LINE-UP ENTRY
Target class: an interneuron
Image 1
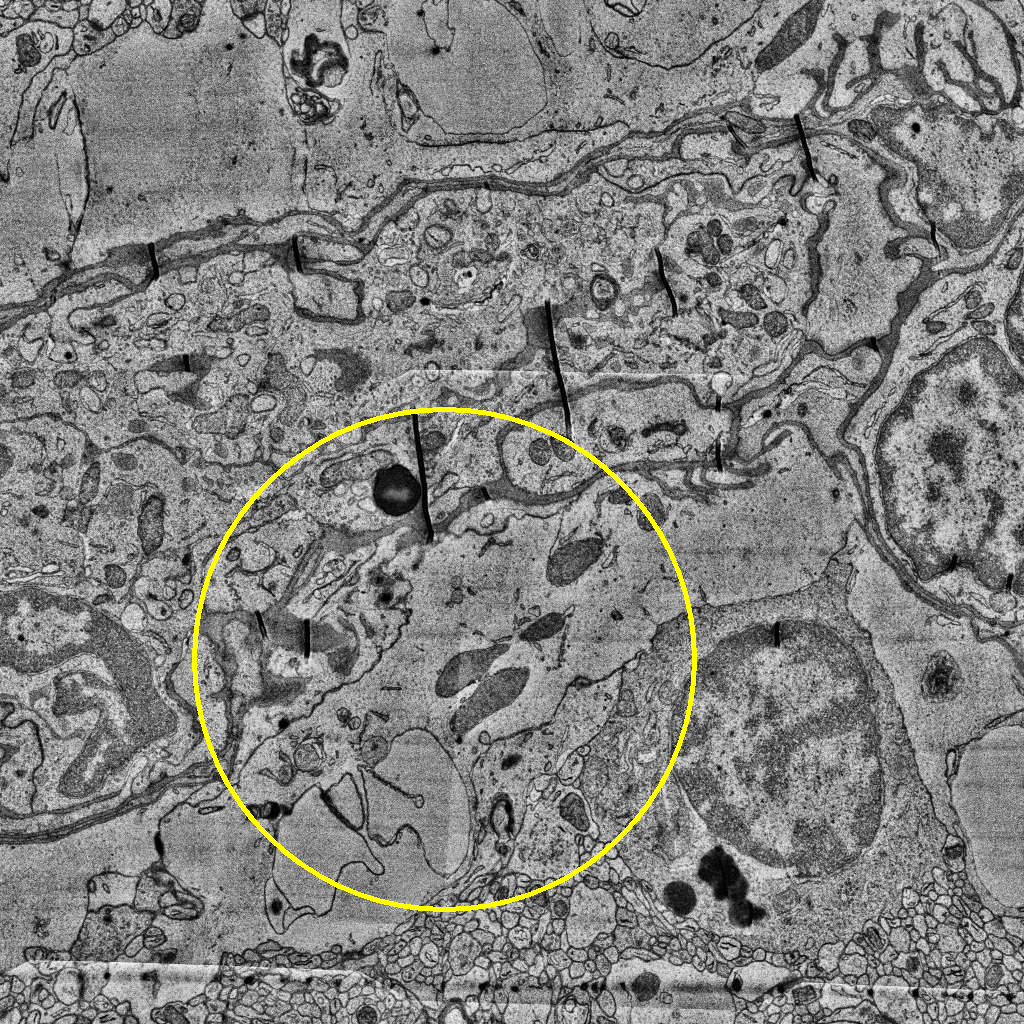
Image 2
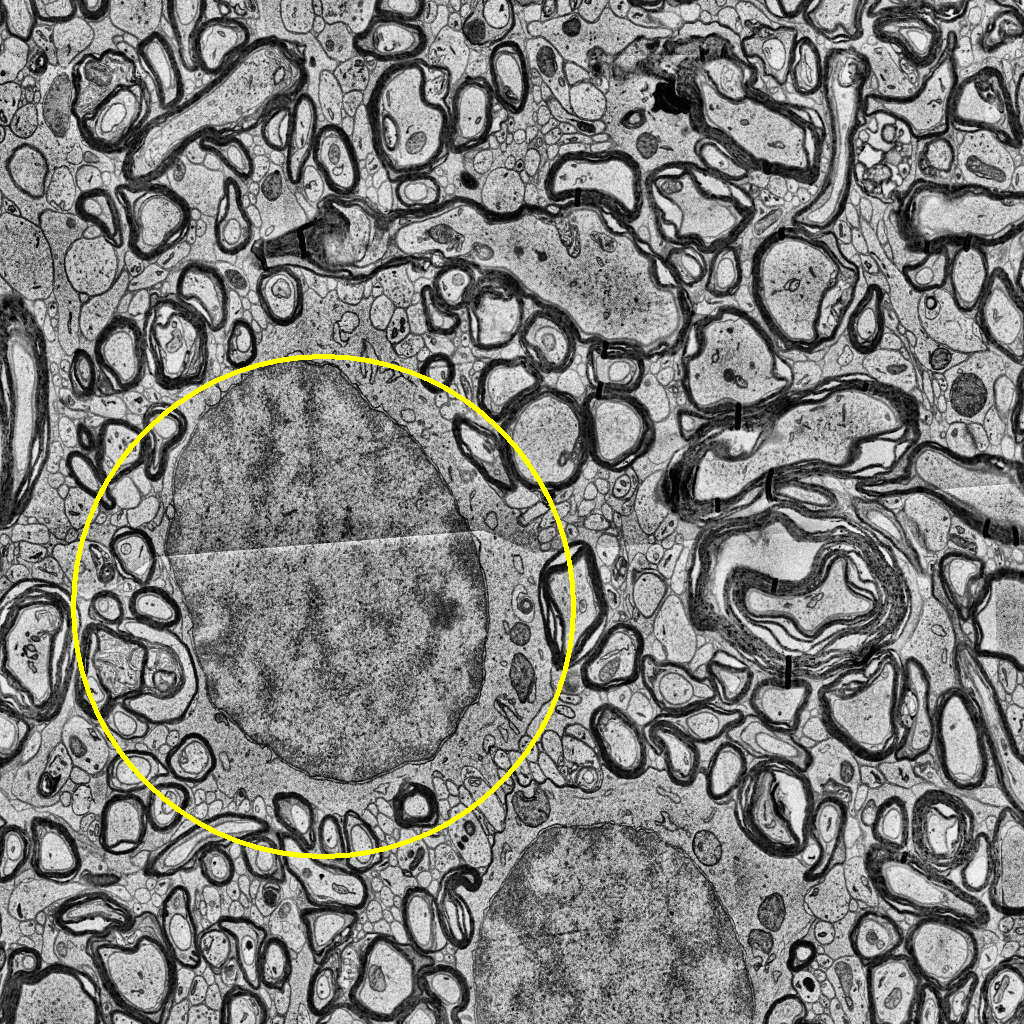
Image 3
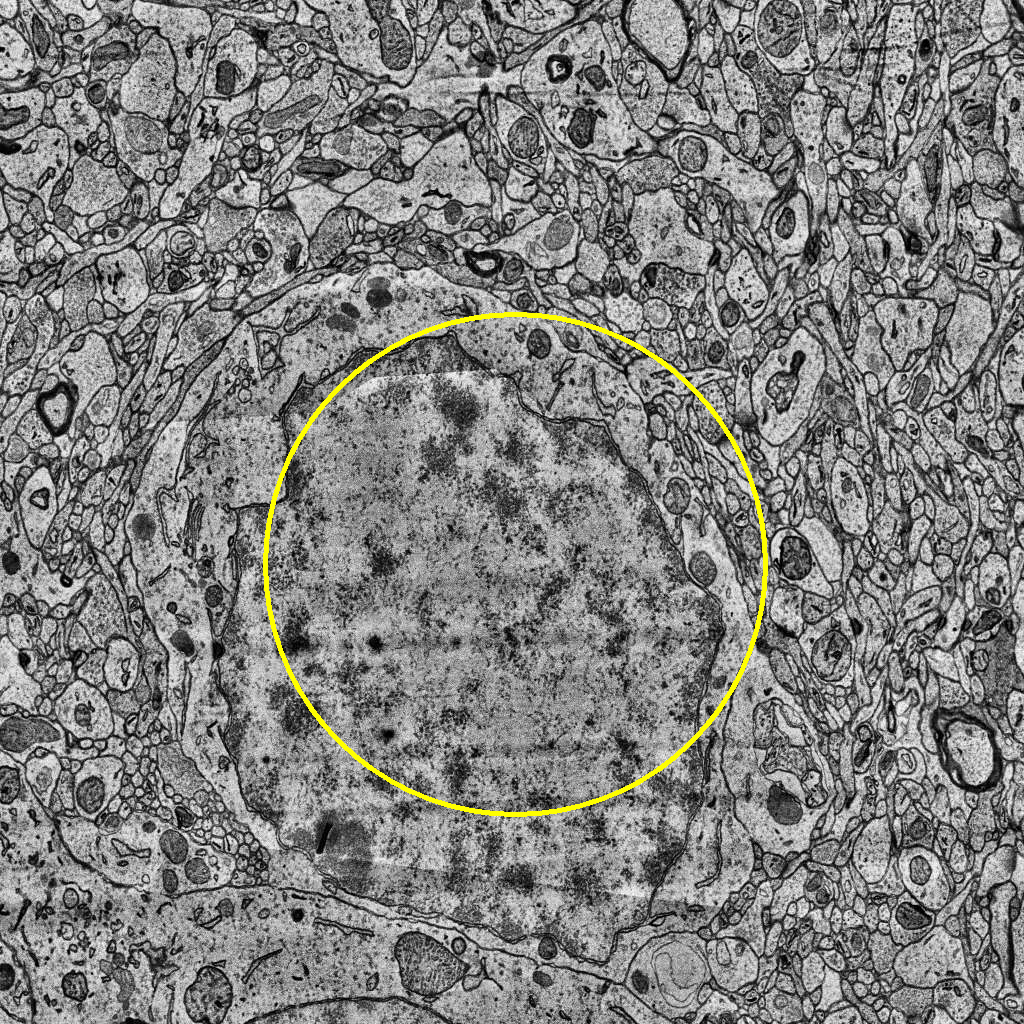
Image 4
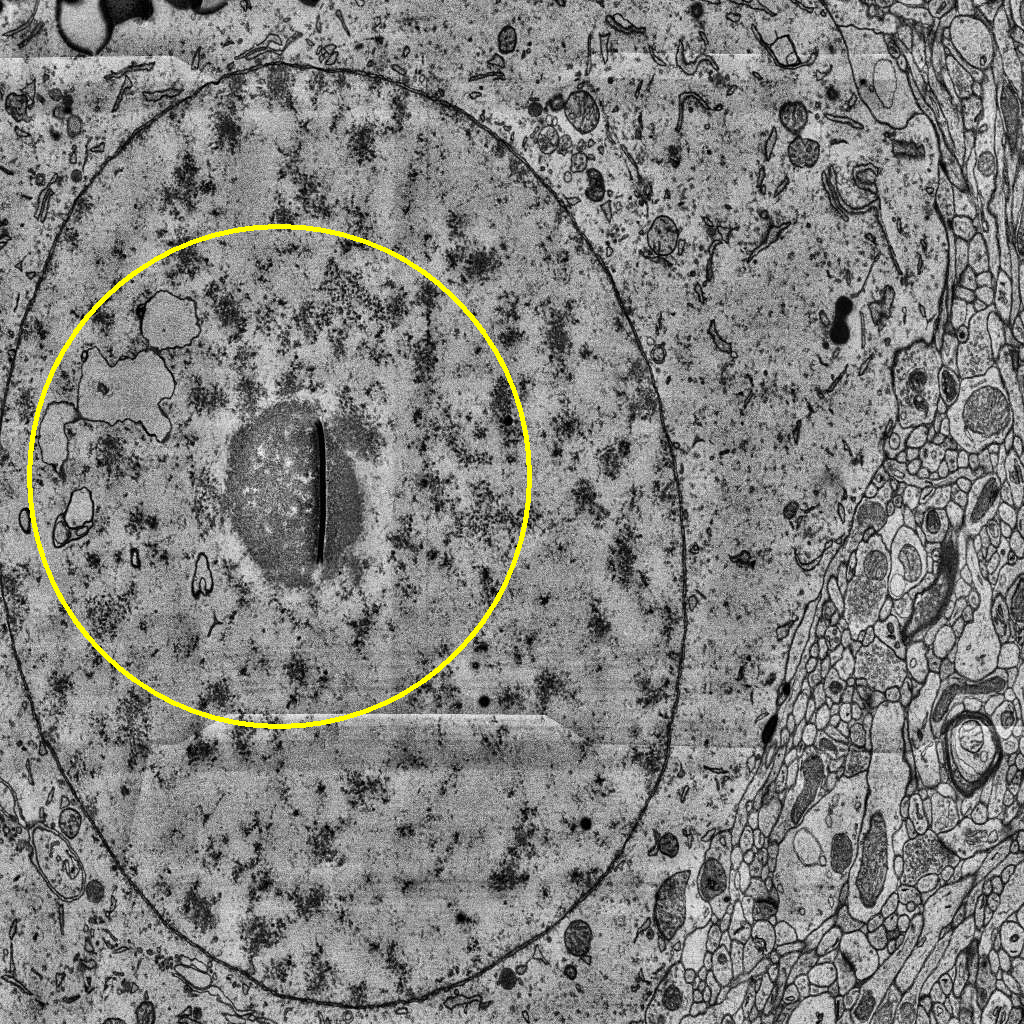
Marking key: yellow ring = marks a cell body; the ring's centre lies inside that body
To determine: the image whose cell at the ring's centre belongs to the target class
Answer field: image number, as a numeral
3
